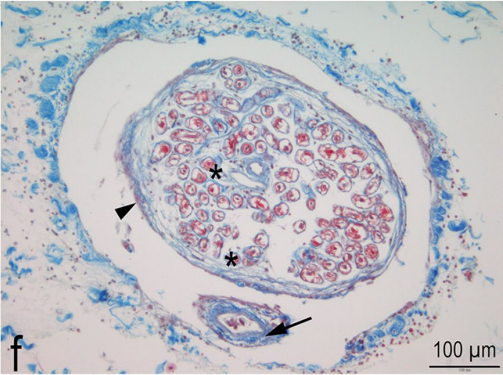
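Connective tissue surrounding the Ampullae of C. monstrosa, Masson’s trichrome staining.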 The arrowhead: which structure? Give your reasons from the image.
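The arrowhead points to a thin sheath around a rounded bundle of many small red-stained profiles. The sheath separates the bundle from a clear space around it.
Answer: perineurium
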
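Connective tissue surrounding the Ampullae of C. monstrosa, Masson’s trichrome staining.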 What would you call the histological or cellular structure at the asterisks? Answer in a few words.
Endoneurium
